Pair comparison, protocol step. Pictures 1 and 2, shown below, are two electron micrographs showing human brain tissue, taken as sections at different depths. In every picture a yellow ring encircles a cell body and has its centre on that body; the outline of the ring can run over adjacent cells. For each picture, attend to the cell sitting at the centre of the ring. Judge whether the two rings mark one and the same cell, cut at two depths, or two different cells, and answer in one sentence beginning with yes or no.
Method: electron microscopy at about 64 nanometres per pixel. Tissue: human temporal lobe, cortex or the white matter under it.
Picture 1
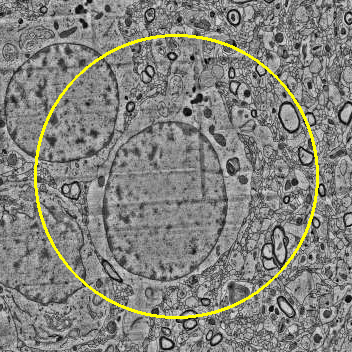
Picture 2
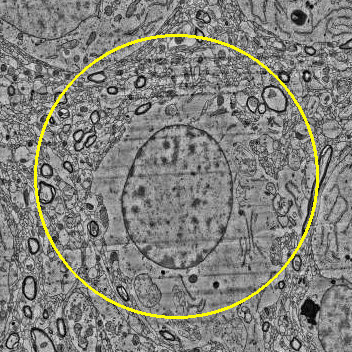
No, the cells inside the two rings are not the same cell.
